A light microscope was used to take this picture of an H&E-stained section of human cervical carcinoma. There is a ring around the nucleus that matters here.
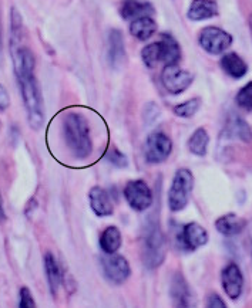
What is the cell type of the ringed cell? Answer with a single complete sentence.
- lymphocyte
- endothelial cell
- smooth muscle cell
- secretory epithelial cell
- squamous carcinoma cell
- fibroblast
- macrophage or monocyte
In the context of this tissue, the ringed cell is a macrophage or monocyte.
